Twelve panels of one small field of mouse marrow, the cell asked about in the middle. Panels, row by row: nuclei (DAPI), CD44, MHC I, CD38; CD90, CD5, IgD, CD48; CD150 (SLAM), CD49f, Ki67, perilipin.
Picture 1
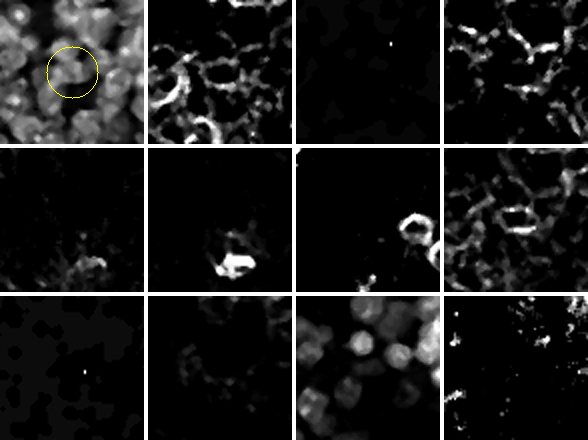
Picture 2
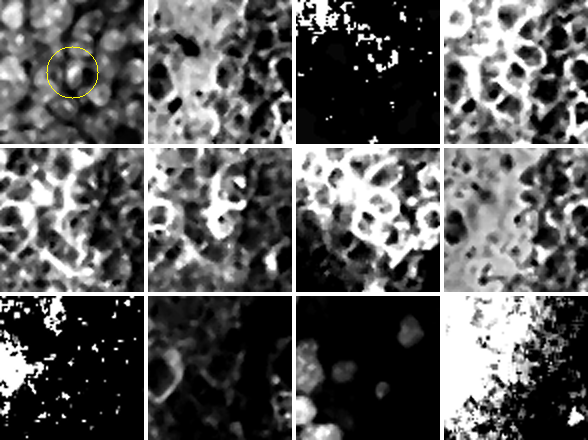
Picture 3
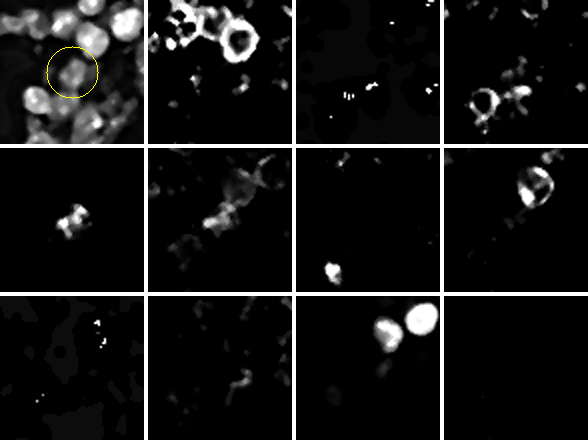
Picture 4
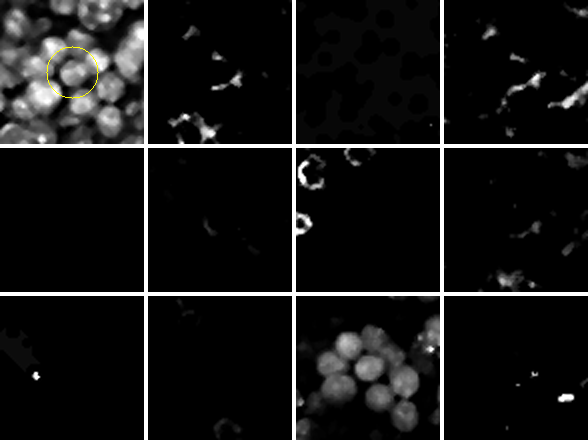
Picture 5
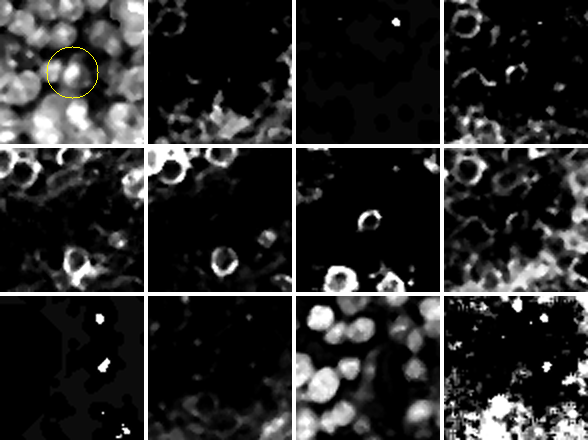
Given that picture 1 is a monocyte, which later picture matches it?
2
